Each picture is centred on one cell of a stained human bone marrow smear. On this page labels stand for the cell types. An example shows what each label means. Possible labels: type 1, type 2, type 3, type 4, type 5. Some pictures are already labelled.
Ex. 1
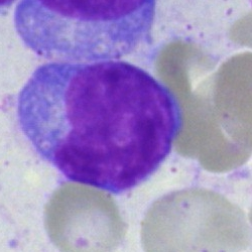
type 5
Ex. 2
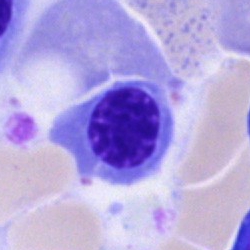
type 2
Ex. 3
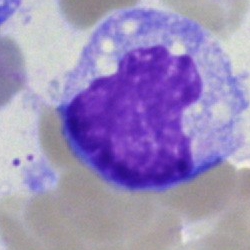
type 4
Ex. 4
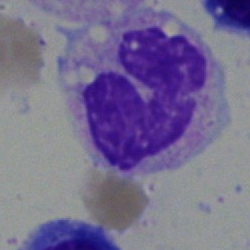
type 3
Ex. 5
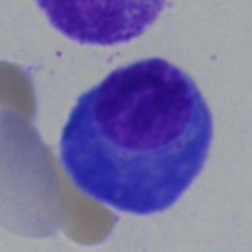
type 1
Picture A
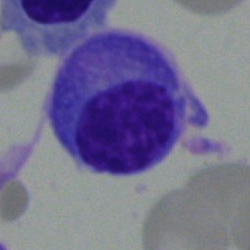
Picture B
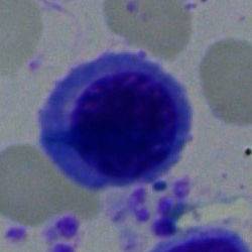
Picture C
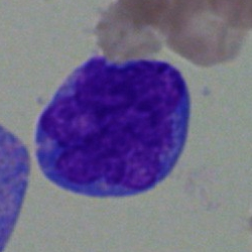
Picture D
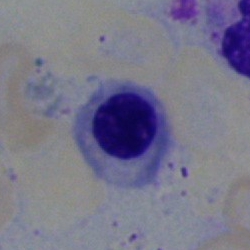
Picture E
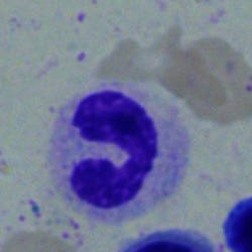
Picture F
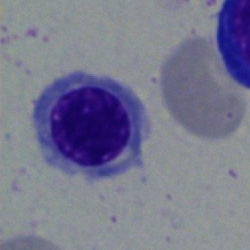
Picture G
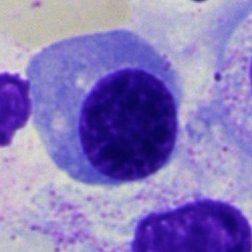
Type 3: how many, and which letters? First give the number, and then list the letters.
1: E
